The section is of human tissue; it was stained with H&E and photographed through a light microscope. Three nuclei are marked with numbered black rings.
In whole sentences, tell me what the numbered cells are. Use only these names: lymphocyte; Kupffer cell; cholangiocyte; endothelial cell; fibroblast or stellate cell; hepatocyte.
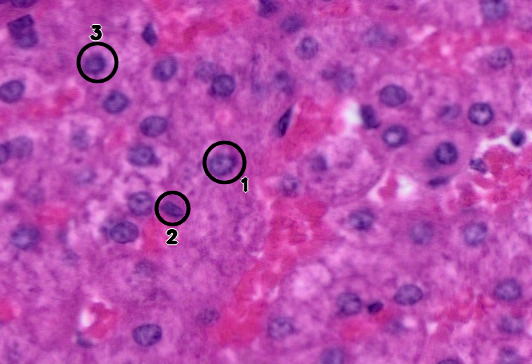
Cell 1 is a hepatocyte, cell 2 is an endothelial cell and cell 3 is a hepatocyte.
